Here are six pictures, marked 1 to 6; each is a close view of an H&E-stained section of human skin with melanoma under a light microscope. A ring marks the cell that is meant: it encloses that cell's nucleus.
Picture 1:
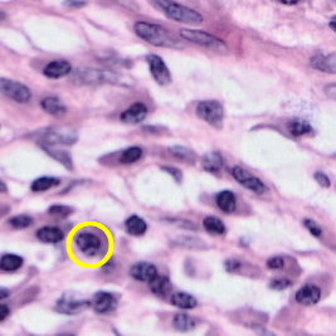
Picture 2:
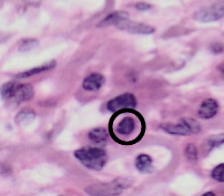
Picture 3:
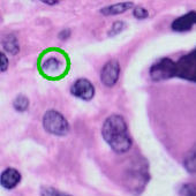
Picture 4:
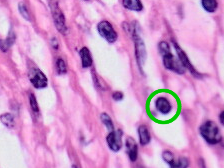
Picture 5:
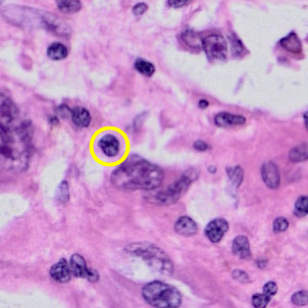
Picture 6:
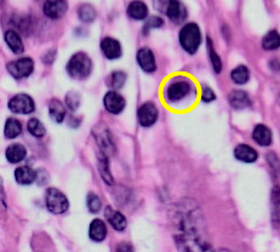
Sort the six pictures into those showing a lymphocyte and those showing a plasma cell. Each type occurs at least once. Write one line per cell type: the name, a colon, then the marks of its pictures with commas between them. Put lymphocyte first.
lymphocyte: 3, 4, 5
plasma cell: 1, 2, 6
